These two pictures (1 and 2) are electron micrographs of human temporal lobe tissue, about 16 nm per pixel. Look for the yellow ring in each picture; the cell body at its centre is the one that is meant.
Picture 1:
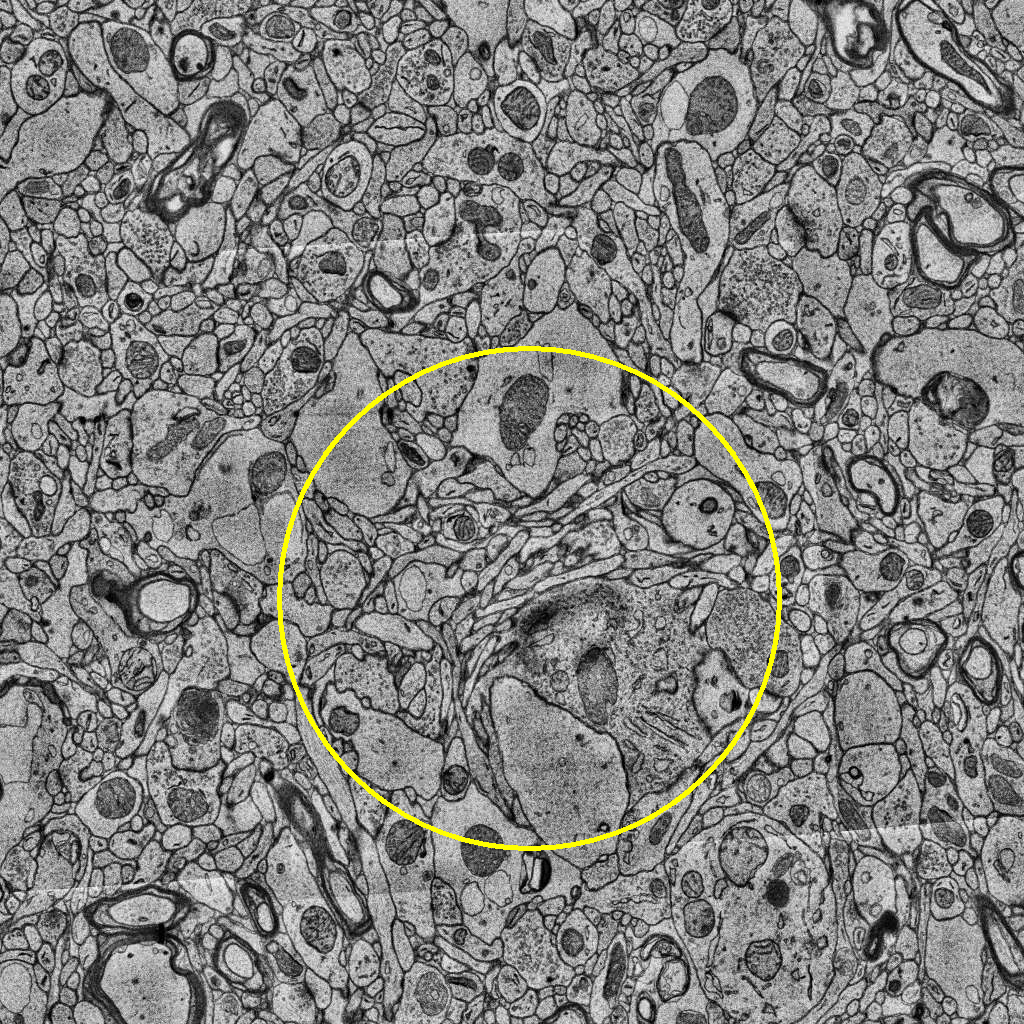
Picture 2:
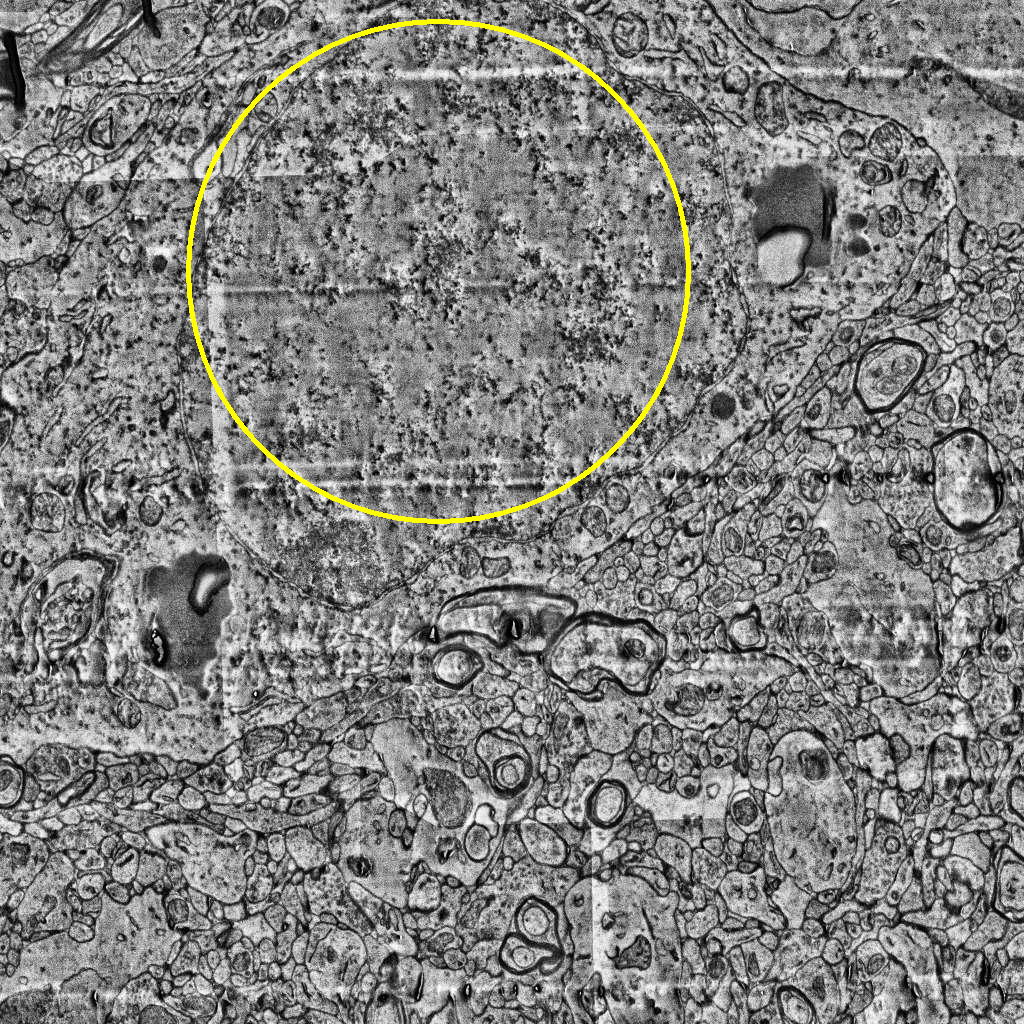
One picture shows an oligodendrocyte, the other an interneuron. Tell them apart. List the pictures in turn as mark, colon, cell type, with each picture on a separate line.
1: oligodendrocyte
2: interneuron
